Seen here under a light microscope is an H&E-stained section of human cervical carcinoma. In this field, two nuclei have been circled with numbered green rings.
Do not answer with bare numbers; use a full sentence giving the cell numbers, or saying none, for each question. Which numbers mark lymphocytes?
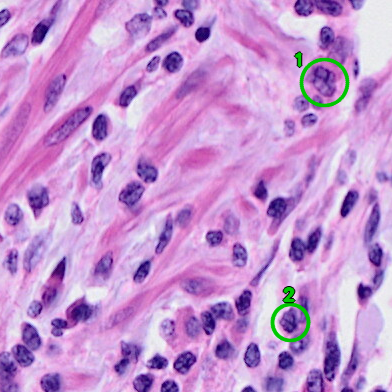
Exactly one numbered cell is a lymphocyte, and that cell is number 2.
